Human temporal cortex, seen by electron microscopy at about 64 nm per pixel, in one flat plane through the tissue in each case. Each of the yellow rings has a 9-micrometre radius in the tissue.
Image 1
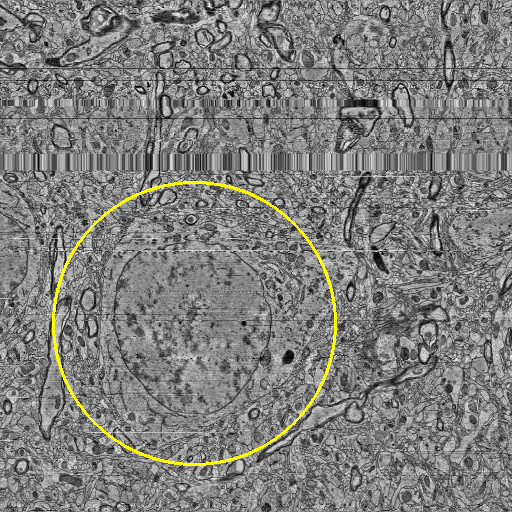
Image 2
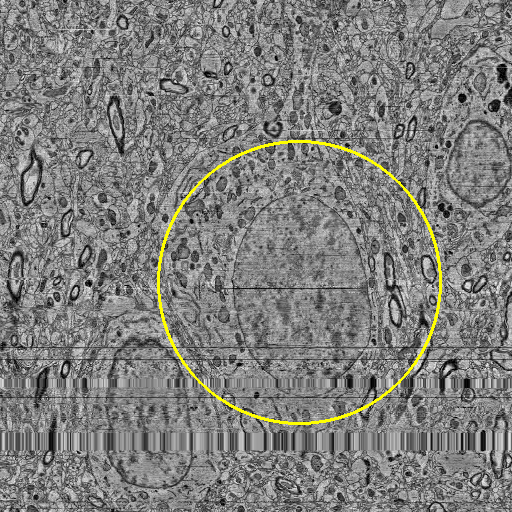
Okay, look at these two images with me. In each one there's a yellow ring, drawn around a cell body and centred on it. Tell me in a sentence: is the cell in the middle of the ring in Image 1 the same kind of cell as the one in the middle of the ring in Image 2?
No, they're two kinds of cell.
